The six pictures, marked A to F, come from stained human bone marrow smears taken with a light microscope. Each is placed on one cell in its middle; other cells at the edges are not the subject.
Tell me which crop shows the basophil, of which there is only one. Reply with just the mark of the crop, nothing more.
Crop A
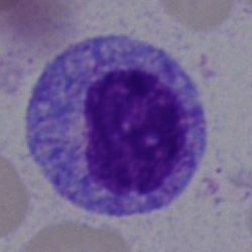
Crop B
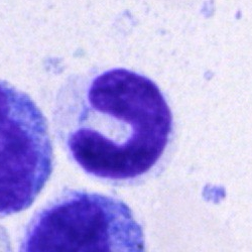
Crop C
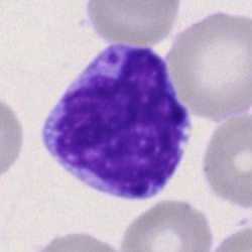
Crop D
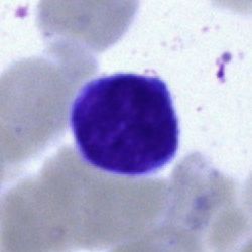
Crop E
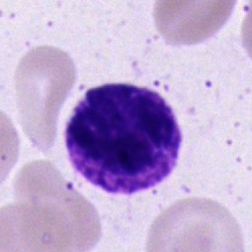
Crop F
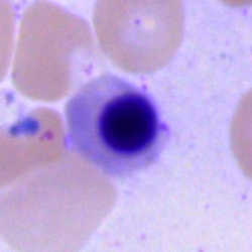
E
